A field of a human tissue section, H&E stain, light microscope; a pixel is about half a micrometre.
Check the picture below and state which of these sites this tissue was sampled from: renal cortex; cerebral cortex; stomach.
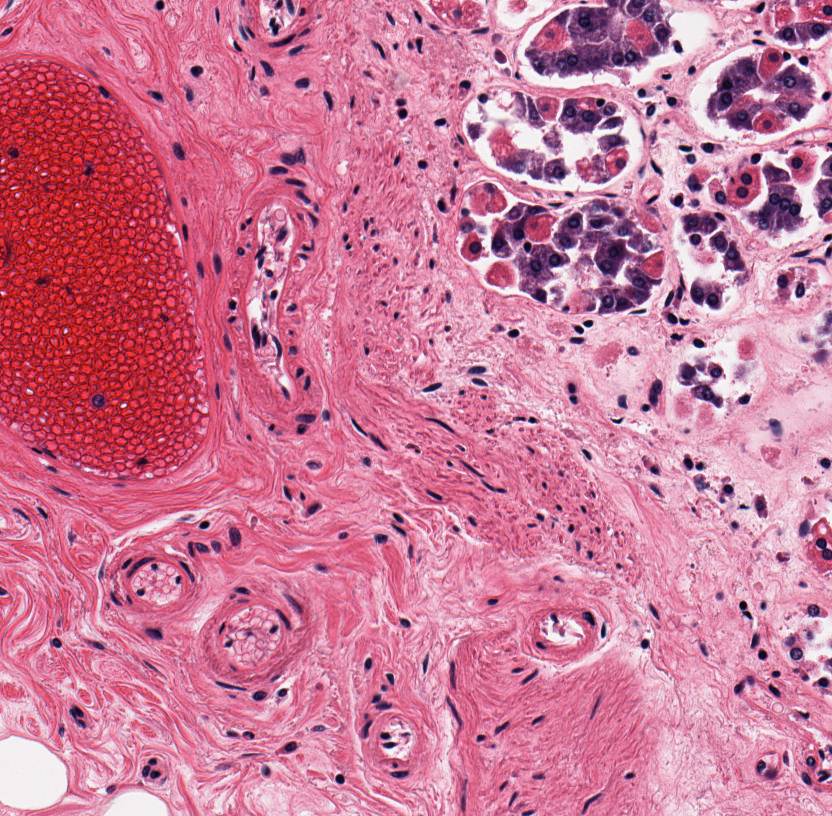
stomach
